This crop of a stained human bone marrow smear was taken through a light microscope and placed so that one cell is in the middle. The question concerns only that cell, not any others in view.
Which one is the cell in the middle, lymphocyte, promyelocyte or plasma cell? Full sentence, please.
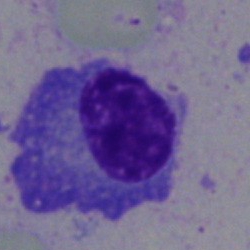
The identification for the central cell is a plasma cell.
